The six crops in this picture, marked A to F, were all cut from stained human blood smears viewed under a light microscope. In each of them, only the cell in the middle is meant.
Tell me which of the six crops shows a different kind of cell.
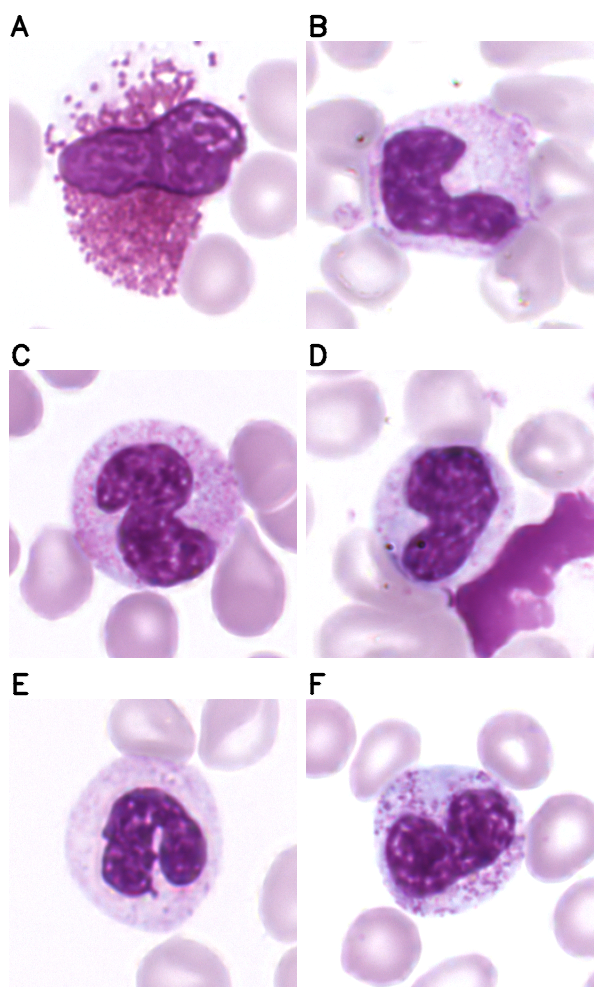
A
